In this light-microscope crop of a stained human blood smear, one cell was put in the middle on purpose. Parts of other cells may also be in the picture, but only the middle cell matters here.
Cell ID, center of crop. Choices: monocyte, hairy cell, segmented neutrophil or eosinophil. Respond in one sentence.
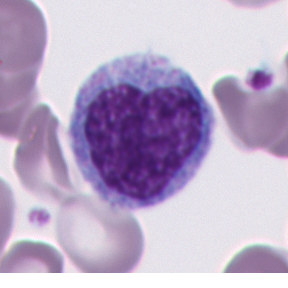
Of the cells in this crop, the central one is a monocyte.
